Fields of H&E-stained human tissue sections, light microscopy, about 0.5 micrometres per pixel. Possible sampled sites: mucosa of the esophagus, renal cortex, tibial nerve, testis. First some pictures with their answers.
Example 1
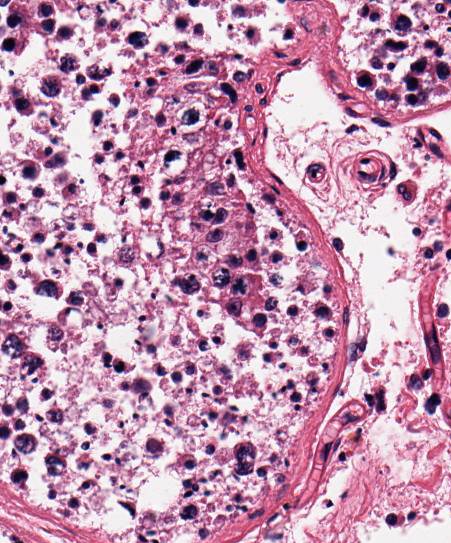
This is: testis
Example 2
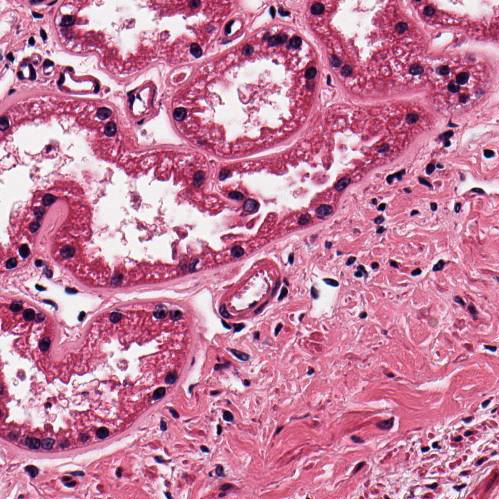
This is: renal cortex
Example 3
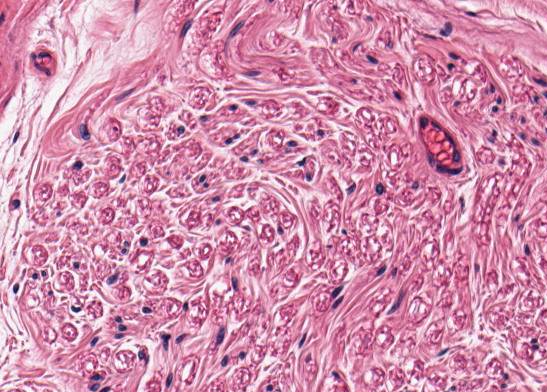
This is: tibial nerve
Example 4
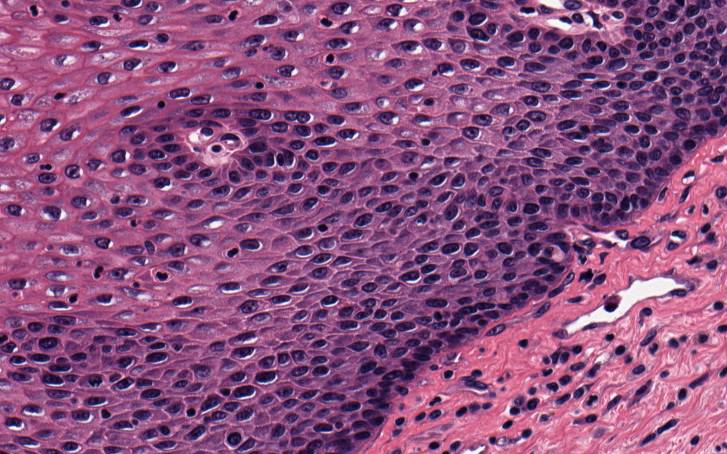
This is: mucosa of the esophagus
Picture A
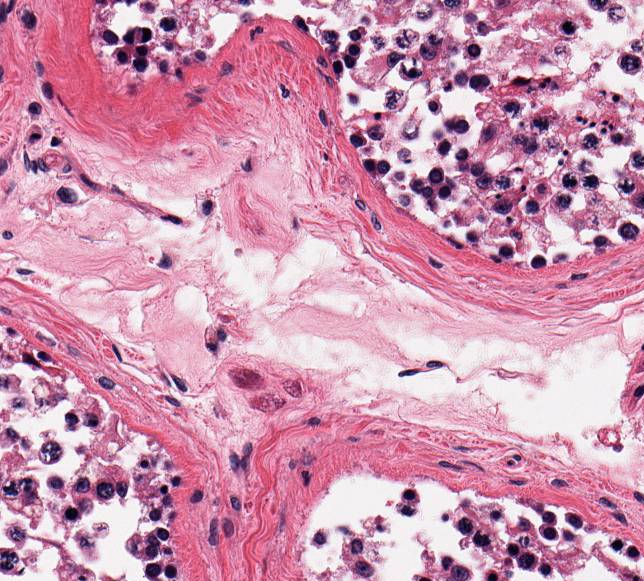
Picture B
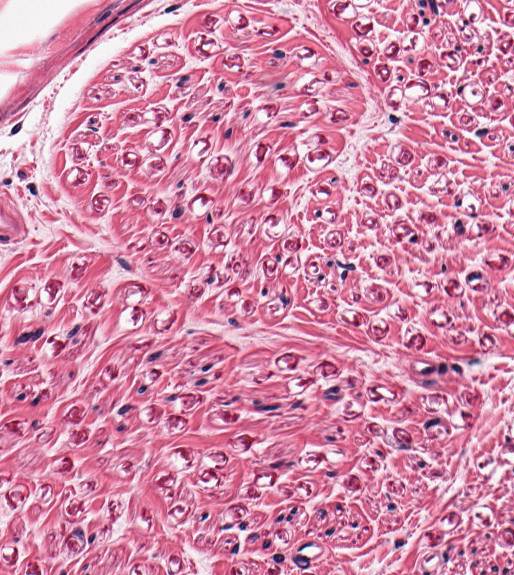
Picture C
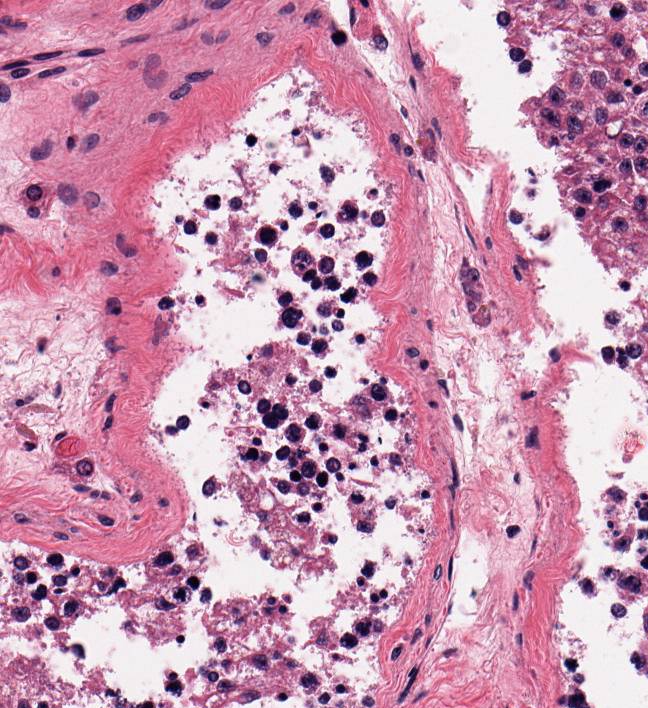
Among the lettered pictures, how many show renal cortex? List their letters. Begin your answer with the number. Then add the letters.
0, none of them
